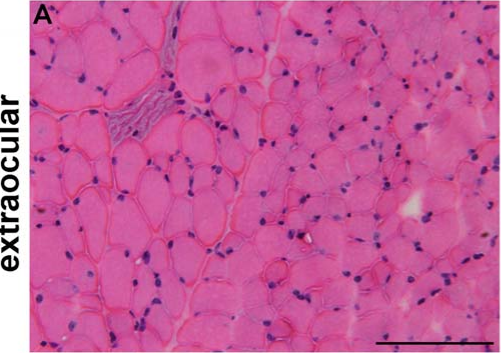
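The fibers are polygonal to rounded and vary in size, with thin pinker borders between them. The dark purple nuclei sit at the edges of the fibers, not in their centers. There is little space between fibers and no clusters of small infiltrating cells.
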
